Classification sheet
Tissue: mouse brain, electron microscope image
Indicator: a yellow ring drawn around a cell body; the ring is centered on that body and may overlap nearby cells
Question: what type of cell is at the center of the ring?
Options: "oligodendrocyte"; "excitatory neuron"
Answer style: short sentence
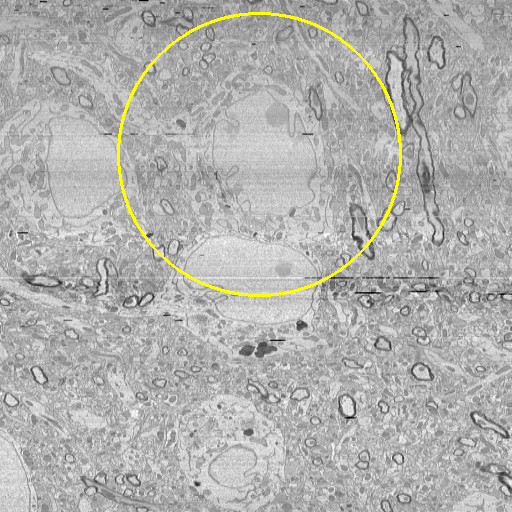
At the ring's center is an excitatory neuron.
